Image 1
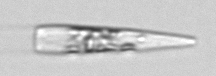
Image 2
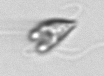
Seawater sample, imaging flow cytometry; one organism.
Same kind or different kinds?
Different: the first is Licmophora, the second Pyramimonas.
